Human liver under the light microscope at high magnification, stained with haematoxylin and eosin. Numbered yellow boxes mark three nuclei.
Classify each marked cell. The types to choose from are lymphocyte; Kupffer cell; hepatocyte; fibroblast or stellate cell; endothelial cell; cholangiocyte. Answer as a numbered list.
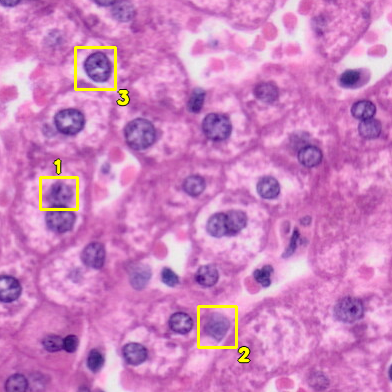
1. hepatocyte
2. endothelial cell
3. hepatocyte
